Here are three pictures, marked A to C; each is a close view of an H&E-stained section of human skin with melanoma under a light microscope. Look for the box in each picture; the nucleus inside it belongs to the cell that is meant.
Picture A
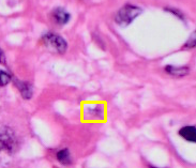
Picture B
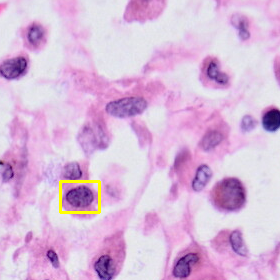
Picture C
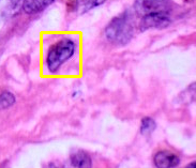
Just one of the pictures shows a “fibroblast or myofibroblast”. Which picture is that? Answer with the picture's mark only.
A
